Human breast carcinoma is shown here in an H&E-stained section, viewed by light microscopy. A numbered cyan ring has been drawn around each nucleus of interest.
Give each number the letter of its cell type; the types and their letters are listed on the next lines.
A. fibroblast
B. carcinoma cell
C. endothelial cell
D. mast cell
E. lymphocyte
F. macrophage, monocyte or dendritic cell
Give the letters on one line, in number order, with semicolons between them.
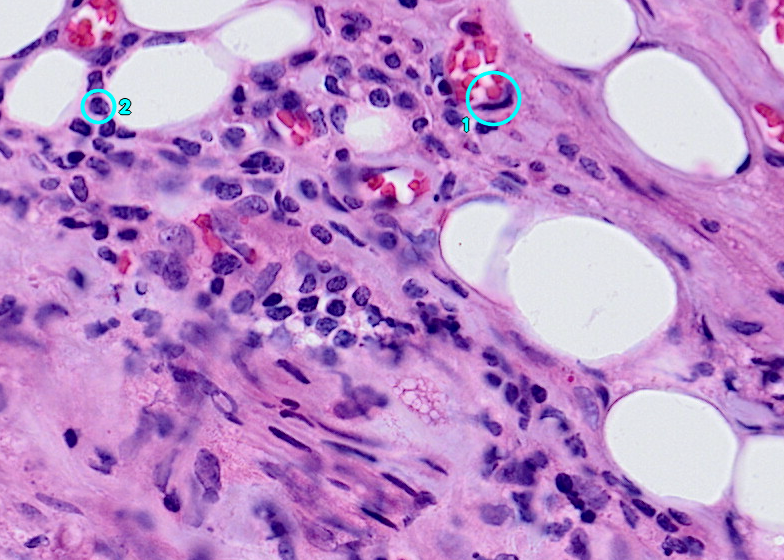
C; E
